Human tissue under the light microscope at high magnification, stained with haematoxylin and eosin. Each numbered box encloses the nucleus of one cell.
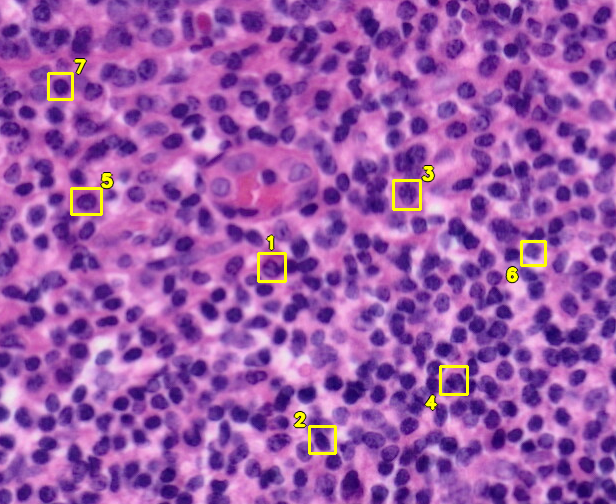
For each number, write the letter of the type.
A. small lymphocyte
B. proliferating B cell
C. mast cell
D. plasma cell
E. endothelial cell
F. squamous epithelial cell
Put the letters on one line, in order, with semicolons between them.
D; A; D; A; D; A; D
